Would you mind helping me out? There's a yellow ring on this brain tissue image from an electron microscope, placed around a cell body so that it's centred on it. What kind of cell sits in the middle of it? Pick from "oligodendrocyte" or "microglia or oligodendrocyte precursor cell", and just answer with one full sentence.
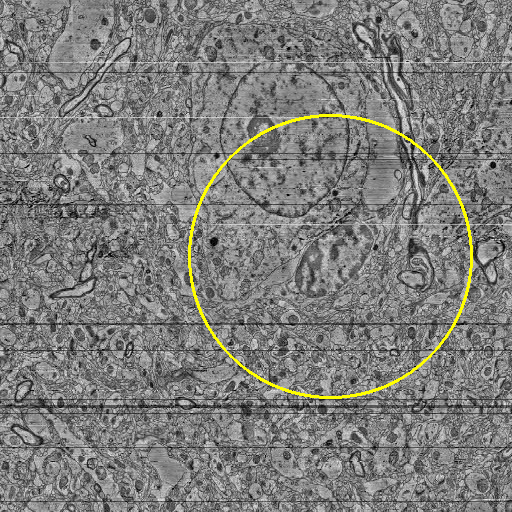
What sits in the middle of that yellow ring is a microglial cell or oligodendrocyte precursor cell, from your choices.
